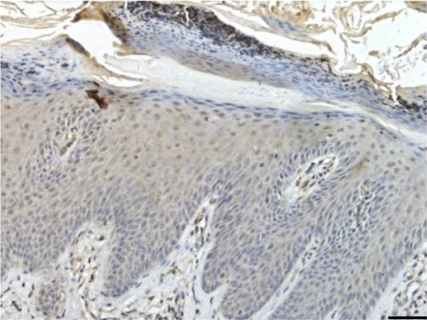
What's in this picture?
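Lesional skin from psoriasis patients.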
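Long rete ridges project deep into the dermis, separated by narrow dermal papillae that contain small vessels. The many layers of keratinocytes have blue nuclei and a diffuse pale brown tint in their cytoplasm. At the surface lies a compact scale, more densely stained, which is partly lifted from the epidermis beneath. The dermis at the bottom of the field is pale connective tissue with scattered nuclei.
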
